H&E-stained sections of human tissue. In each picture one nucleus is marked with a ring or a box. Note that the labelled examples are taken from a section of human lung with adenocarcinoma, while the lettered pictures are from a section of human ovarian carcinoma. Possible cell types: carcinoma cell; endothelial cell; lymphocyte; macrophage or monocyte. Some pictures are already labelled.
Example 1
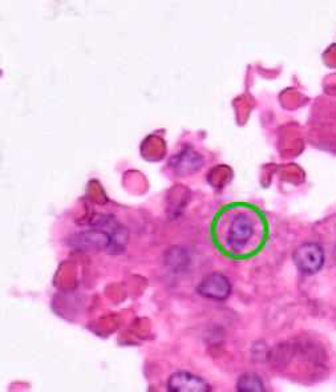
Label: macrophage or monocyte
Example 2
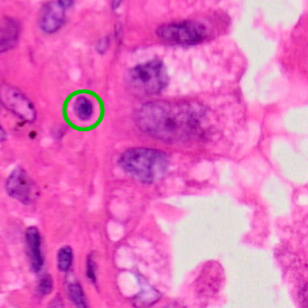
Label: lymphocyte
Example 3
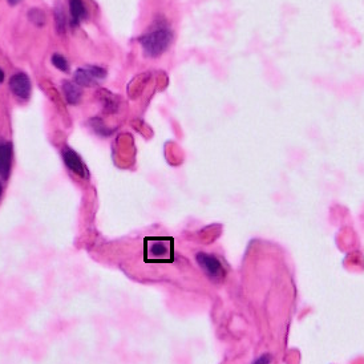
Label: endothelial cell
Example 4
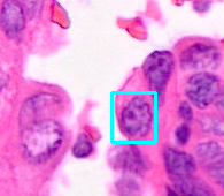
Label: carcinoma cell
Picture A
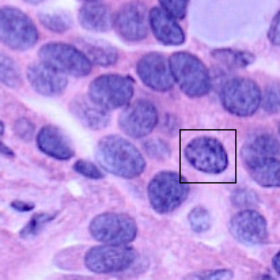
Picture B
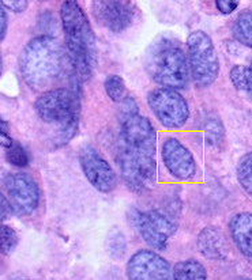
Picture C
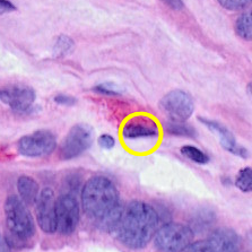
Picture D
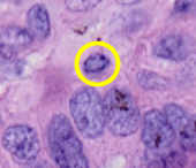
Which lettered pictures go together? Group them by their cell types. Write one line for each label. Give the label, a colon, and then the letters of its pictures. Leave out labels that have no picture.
carcinoma cell: B
endothelial cell: C
macrophage or monocyte: A, D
